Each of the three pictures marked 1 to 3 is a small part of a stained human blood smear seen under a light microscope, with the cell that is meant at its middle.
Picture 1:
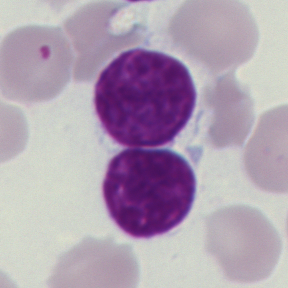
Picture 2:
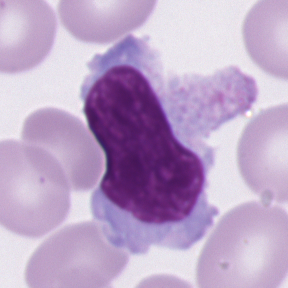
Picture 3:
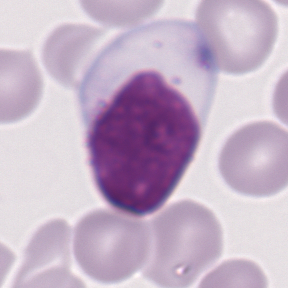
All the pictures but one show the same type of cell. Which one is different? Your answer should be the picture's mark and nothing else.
1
